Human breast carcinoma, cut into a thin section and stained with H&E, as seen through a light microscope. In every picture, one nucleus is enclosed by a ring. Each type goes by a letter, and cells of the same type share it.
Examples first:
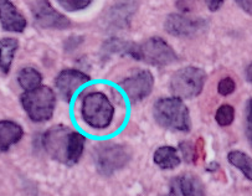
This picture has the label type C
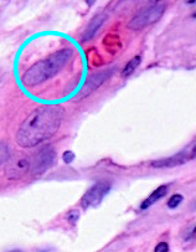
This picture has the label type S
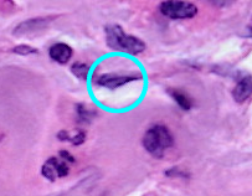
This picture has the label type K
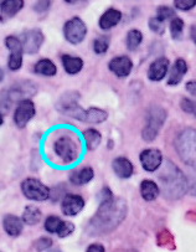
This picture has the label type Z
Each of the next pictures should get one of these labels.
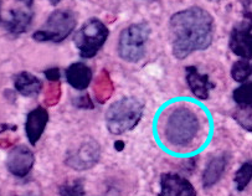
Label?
type C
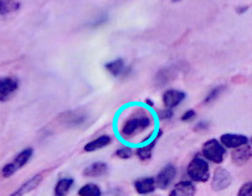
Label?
type Z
